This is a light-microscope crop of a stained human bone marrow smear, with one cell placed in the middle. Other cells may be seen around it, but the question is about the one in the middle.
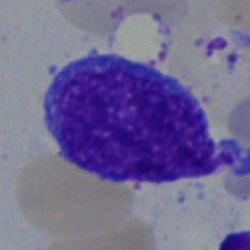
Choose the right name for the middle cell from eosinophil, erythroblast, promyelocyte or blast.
blast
